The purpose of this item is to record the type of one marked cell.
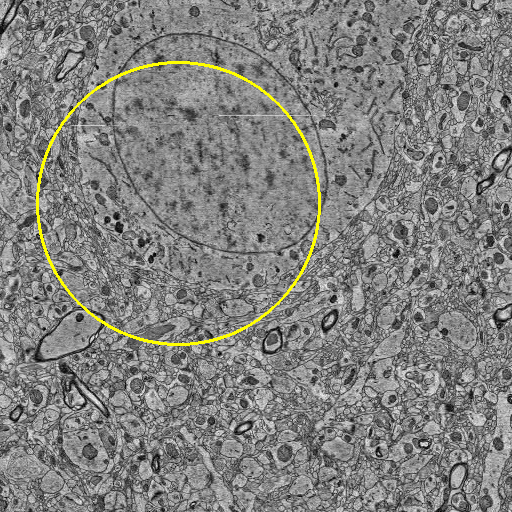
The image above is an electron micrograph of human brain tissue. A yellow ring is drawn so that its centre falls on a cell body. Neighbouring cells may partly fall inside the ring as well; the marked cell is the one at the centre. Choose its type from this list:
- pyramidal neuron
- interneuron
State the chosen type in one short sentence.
What the ring marks here is a pyramidal neuron.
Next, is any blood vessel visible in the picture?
No, no vessel appears in the picture.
